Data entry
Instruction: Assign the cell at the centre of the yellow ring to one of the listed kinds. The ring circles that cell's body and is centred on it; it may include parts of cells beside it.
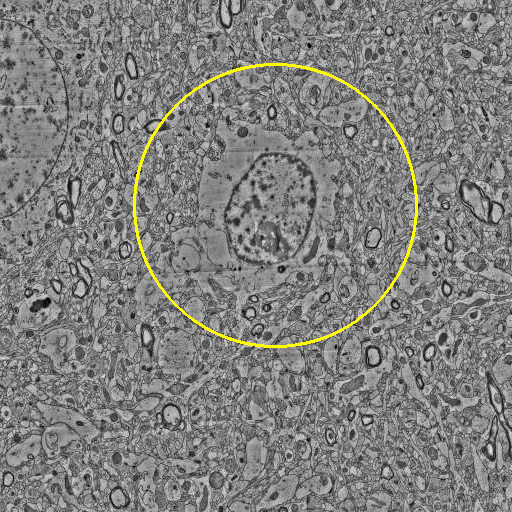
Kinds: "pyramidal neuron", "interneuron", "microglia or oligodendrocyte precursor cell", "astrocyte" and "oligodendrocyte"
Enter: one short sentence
The centre of the ring falls on an astrocyte.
